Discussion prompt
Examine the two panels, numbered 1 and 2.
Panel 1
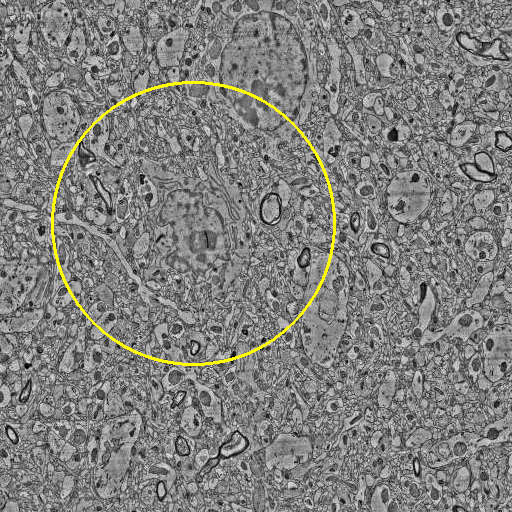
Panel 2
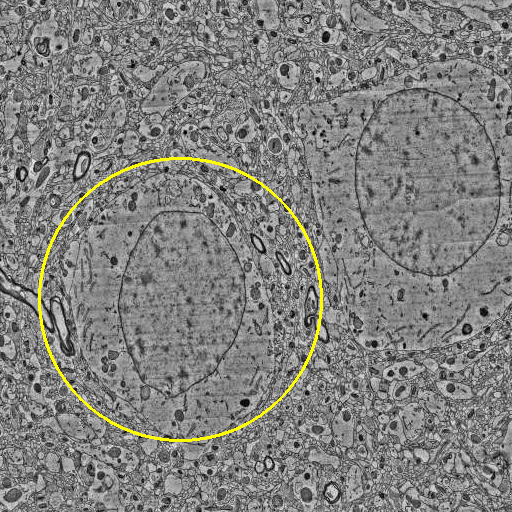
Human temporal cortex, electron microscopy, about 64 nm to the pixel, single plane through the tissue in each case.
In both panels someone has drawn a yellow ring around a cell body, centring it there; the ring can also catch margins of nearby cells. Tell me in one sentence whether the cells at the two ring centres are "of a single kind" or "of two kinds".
Taken together, the two cells centred in the rings of Panels 1 and 2 are of two kinds.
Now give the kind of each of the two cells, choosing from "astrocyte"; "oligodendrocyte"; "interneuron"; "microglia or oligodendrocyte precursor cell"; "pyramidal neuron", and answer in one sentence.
The cell in the first picture is an astrocyte, and the cell in the second is a pyramidal neuron.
